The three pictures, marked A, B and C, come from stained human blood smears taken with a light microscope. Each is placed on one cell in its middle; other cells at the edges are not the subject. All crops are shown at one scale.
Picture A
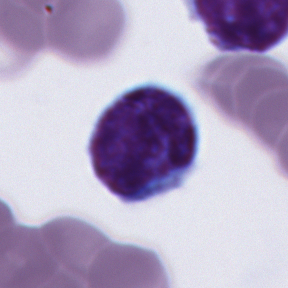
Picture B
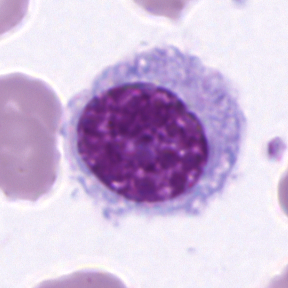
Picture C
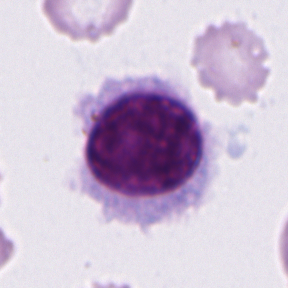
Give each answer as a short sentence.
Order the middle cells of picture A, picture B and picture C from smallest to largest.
From the smallest up, the order is A, C, B.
